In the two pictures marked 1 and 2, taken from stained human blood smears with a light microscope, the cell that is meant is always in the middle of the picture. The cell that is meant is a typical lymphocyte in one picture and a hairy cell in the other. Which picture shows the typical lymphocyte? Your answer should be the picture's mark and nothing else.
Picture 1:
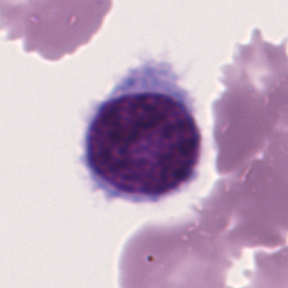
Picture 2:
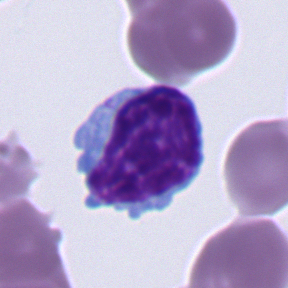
2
